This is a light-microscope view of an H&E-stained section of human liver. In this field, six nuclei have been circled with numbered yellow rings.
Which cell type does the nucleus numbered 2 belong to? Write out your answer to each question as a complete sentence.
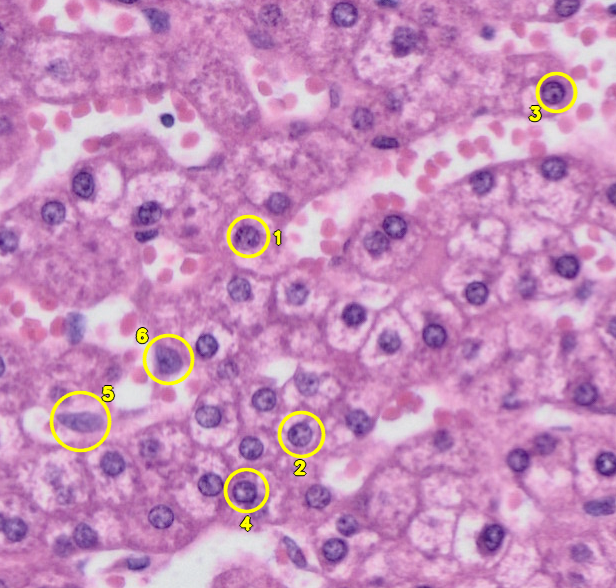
The label 2 in this section denotes a hepatocyte.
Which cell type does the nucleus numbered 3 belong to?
Cell 3 is classified as a hepatocyte.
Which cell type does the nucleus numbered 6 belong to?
The cell that is numbered 6 is a Kupffer cell.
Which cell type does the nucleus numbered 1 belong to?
The cell with the number 1 is a hepatocyte.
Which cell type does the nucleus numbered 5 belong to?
Classified as a Kupffer cell is the cell with the number 5.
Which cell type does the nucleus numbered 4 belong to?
Here, the cell given the number 4 is a hepatocyte.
